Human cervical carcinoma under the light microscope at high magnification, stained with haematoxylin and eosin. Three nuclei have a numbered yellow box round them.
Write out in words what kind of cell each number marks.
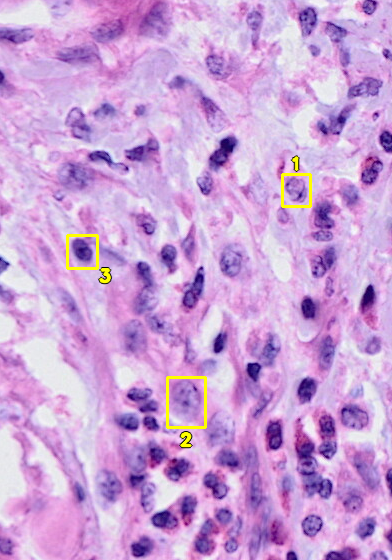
Cell 1 is a macrophage or monocyte. Cell 2 is an endothelial cell. Cell 3 is a lymphocyte.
